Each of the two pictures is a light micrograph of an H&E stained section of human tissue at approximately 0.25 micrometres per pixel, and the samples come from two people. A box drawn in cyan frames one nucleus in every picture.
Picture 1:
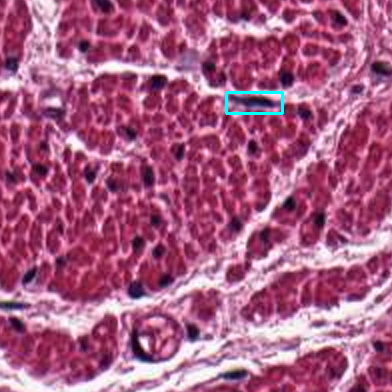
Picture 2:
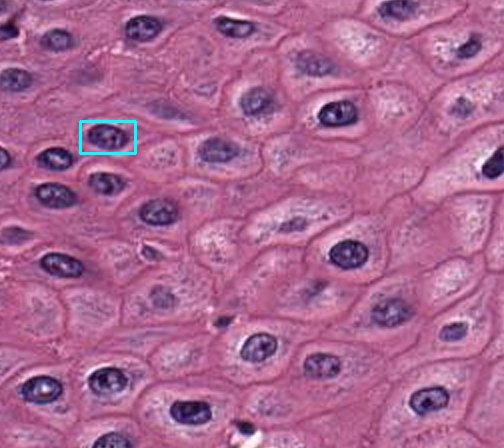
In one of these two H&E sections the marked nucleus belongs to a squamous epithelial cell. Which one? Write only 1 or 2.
2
